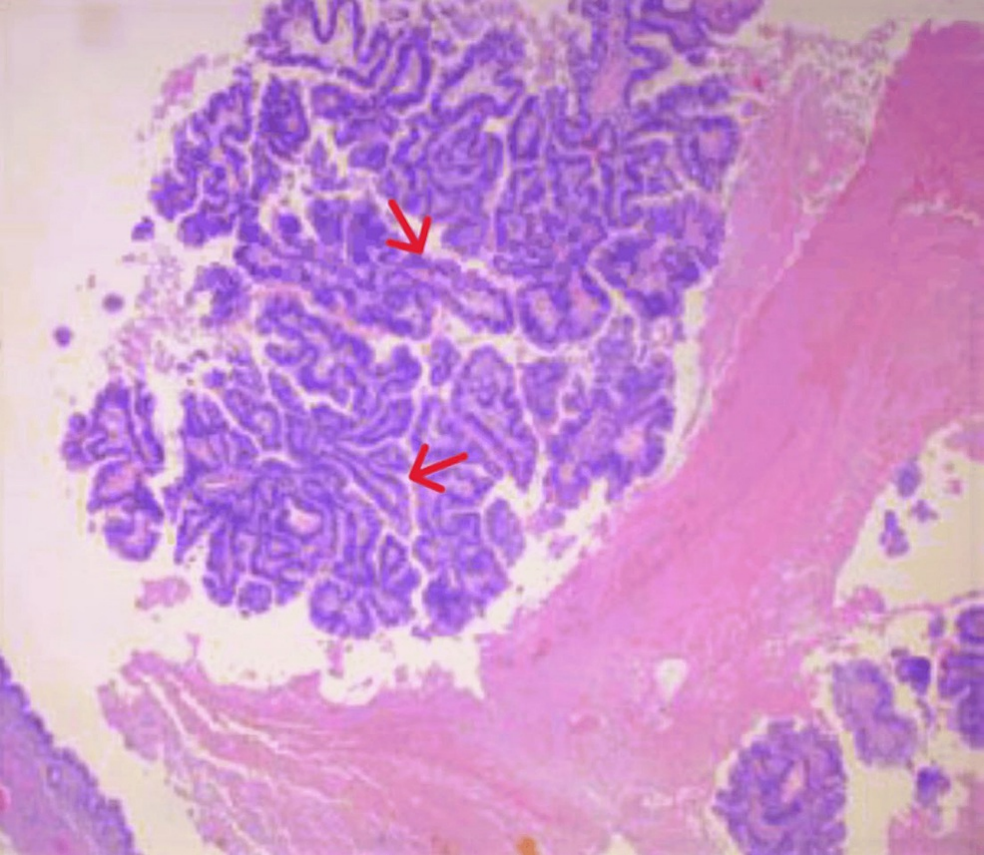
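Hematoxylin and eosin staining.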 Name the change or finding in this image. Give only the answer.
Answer: High papillary architecture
